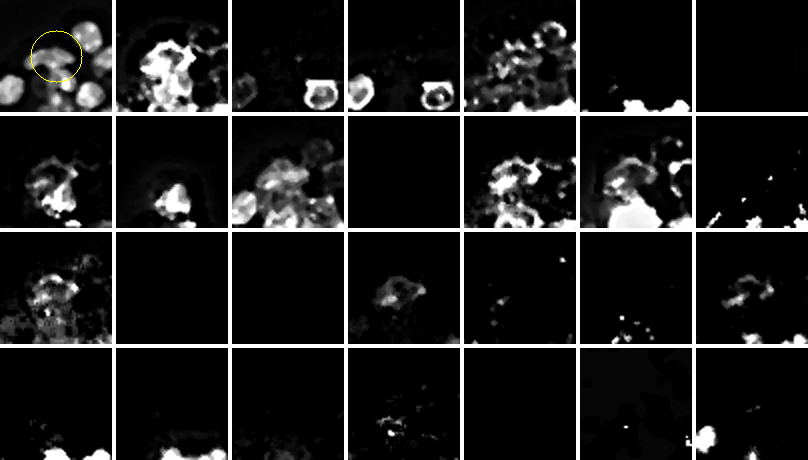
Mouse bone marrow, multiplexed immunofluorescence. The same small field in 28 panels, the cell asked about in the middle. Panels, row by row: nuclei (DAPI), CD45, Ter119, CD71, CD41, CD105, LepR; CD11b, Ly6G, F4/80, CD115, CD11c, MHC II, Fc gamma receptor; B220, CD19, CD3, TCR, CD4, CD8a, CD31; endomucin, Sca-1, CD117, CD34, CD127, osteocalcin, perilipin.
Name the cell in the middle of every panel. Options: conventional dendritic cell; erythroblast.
conventional dendritic cell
